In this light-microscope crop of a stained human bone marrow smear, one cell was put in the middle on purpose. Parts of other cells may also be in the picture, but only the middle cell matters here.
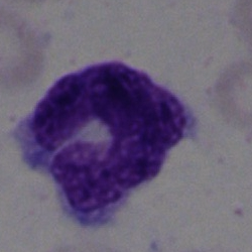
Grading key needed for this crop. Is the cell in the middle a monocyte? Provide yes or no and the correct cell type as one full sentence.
Yes, the centred cell is categorised as a monocyte.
